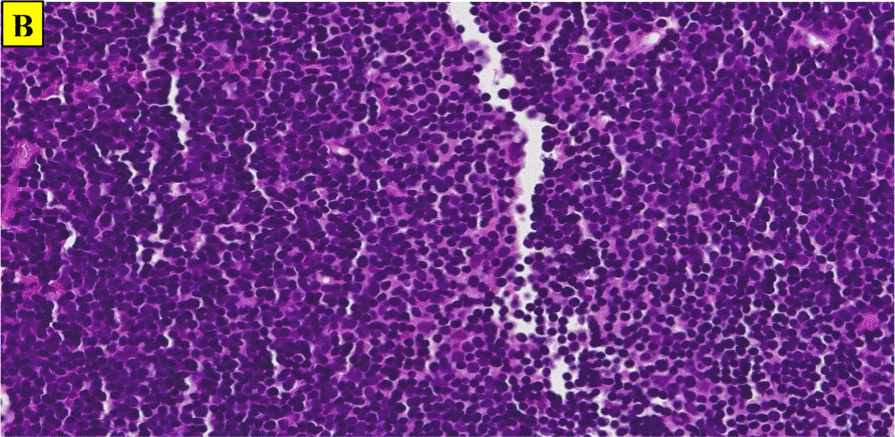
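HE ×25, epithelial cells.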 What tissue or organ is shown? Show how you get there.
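Sheets of densely packed small cells with dark round nuclei. Little cytoplasm around most nuclei.
Answer: prominent lymphoid stroma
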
